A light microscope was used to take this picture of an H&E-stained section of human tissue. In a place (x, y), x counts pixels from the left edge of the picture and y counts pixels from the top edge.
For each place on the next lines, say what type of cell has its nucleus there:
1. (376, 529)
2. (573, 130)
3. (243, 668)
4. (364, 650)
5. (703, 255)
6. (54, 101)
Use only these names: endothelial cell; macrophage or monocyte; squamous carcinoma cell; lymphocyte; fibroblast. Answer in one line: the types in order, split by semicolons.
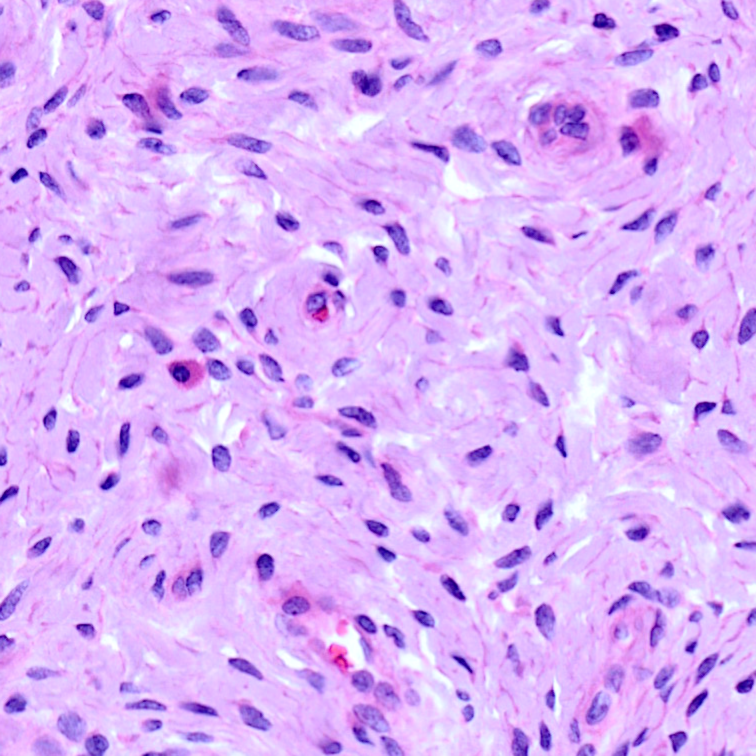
fibroblast; endothelial cell; fibroblast; endothelial cell; fibroblast; fibroblast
